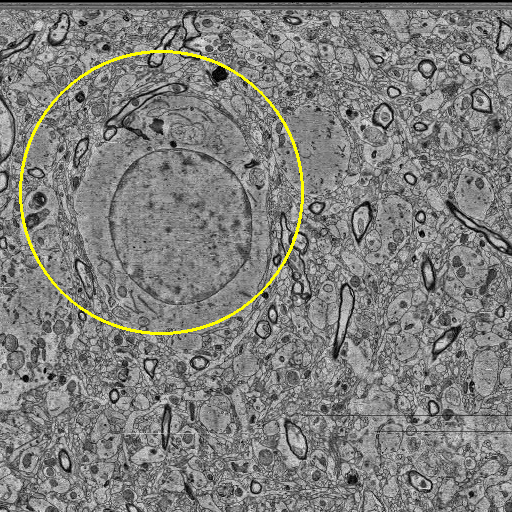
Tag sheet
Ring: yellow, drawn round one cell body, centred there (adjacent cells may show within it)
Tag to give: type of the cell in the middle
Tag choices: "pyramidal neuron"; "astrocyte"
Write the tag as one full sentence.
I tag the cell centred in the yellow ring as an astrocyte in this picture.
